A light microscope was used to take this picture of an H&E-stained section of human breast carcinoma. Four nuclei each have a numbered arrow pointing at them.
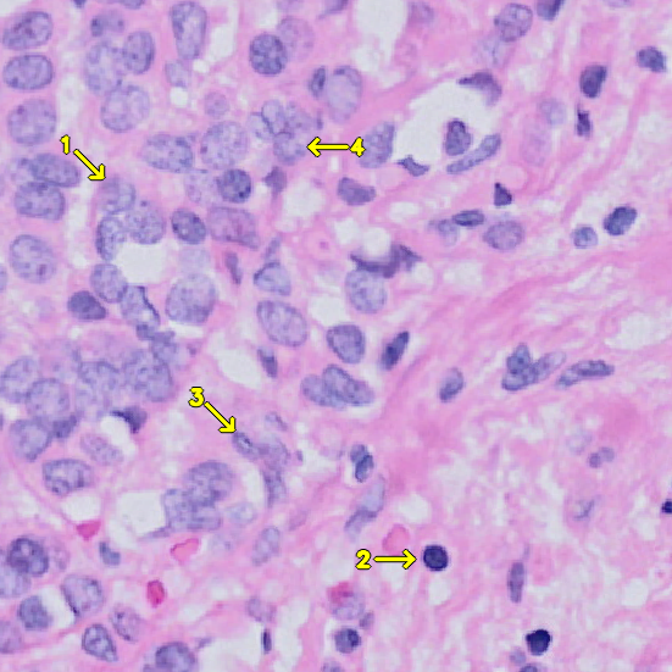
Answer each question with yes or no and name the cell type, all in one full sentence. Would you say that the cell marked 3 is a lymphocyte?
No, the cell under number 3 is an endothelial cell instead of a lymphocyte.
